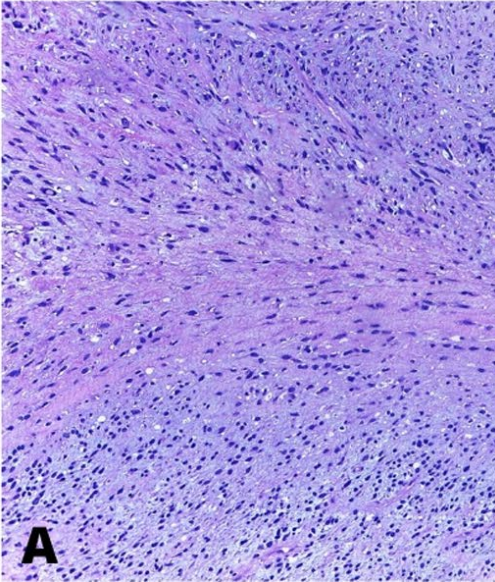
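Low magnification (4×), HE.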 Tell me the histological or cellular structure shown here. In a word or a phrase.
fascicles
